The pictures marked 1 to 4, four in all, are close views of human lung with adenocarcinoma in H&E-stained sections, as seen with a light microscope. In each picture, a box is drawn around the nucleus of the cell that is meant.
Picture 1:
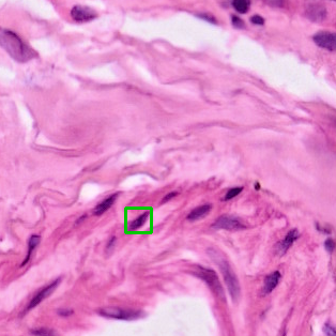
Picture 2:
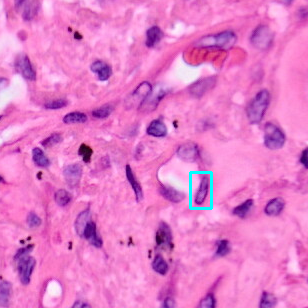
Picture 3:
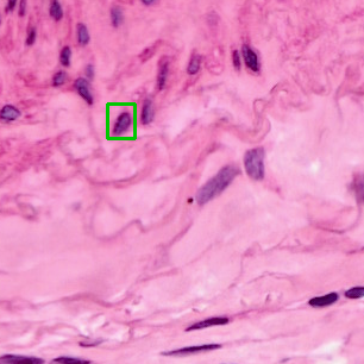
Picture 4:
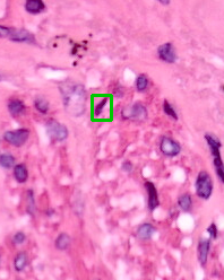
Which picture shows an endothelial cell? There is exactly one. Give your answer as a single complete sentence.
The picture with the endothelial cell is 2.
